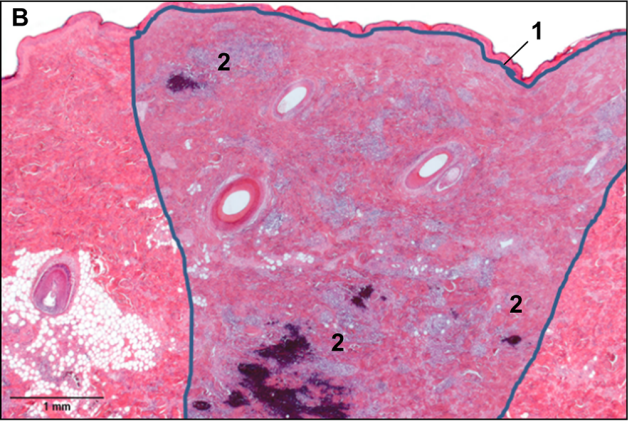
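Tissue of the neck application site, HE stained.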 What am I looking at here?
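This section of skin shows a broad inflammatory focus occupying much of the dermis beneath the epidermis. The epidermis is a thin pink layer at the surface, and hair follicles appear as rounded profiles with clear centres within the dermis. The affected area is paler and more purple than the dense pink dermis on either side, with many bluish-purple patches of packed cells. In the deeper part, irregular dark purple-black granular clumps lie among the cellular patches. At the lower left, outside the affected area, a lobule of clear fat cells is seen.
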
